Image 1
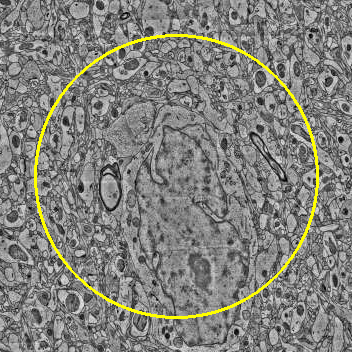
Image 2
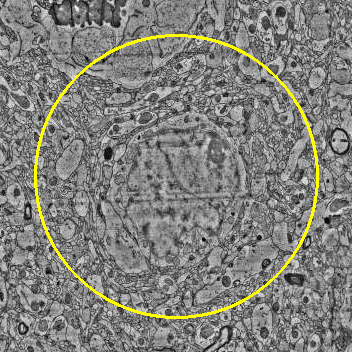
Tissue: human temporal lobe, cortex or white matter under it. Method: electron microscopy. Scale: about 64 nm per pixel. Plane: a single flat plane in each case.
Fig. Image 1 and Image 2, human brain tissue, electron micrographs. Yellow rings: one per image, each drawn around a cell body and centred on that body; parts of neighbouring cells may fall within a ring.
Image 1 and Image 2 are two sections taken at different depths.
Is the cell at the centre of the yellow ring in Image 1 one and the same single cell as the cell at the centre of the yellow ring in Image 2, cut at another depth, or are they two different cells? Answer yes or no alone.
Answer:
no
